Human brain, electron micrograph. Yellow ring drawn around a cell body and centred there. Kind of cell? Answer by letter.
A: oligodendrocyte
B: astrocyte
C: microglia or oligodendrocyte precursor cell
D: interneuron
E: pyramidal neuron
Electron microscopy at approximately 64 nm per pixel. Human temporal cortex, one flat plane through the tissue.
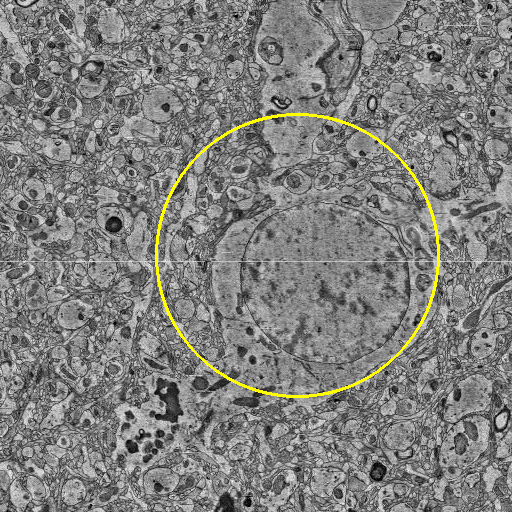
B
